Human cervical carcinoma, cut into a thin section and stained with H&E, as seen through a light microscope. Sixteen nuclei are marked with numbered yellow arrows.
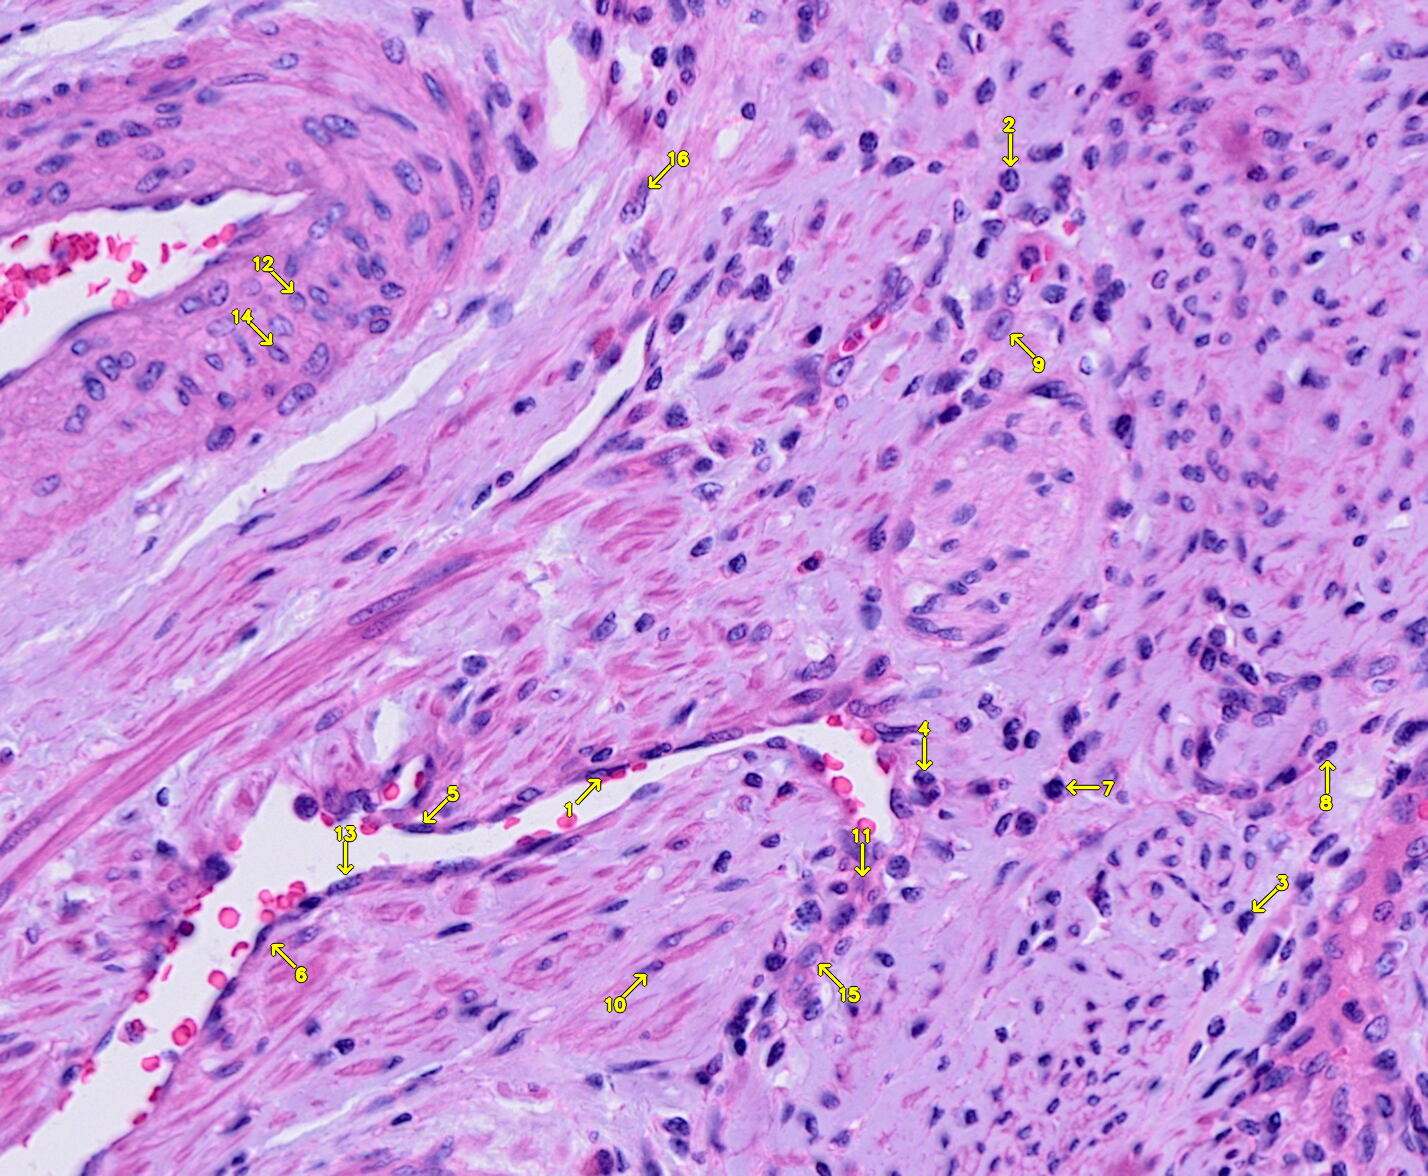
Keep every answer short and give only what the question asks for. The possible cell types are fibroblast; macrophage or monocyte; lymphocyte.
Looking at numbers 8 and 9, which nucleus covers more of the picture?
9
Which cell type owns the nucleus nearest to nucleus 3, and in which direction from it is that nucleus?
a fibroblast, above and to the left of nucleus 3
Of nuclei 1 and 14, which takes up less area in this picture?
14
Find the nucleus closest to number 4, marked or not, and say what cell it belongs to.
lymphocyte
